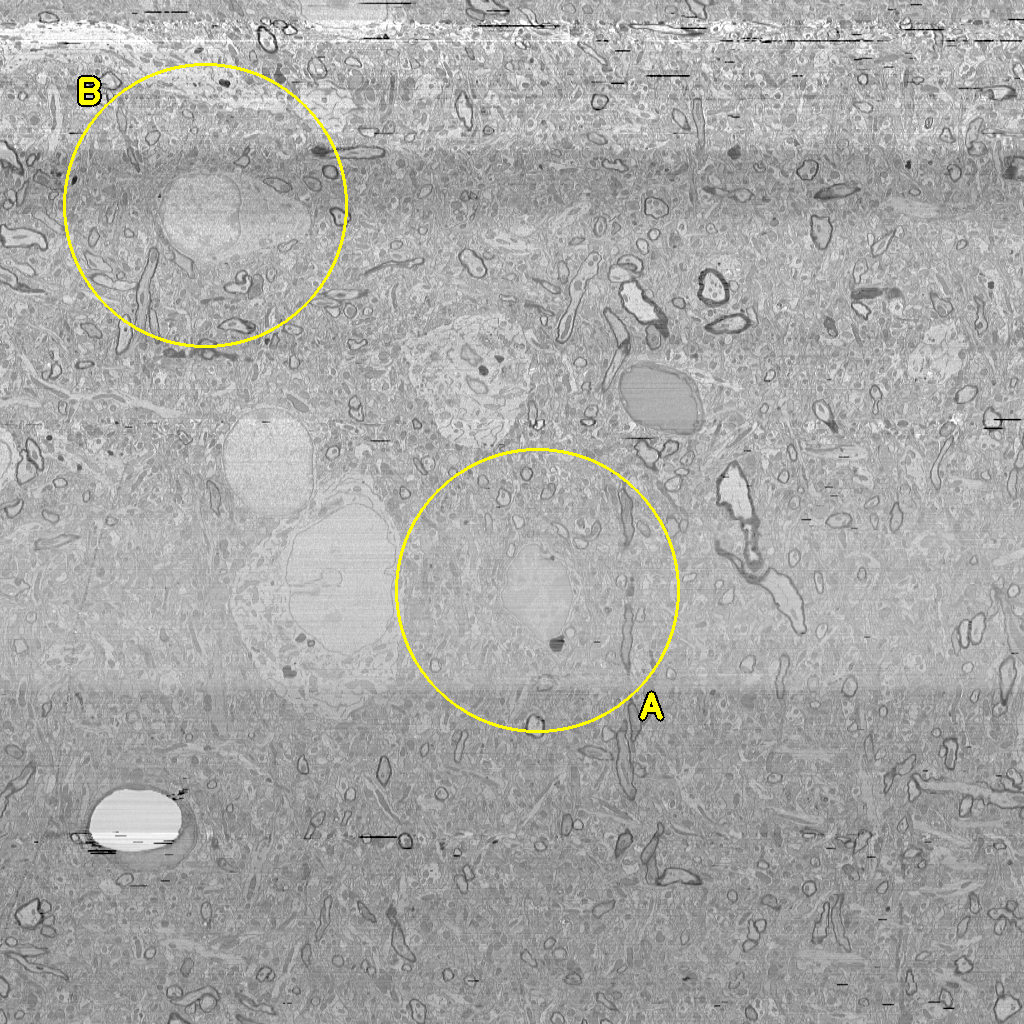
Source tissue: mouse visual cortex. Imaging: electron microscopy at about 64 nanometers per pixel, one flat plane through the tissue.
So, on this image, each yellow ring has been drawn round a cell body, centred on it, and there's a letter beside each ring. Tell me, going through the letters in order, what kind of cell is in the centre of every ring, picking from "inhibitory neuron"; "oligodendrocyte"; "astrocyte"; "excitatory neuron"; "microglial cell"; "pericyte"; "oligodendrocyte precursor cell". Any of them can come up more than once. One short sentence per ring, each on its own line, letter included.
Ring A has been drawn round a microglial cell.
Ring B has been drawn round an oligodendrocyte.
